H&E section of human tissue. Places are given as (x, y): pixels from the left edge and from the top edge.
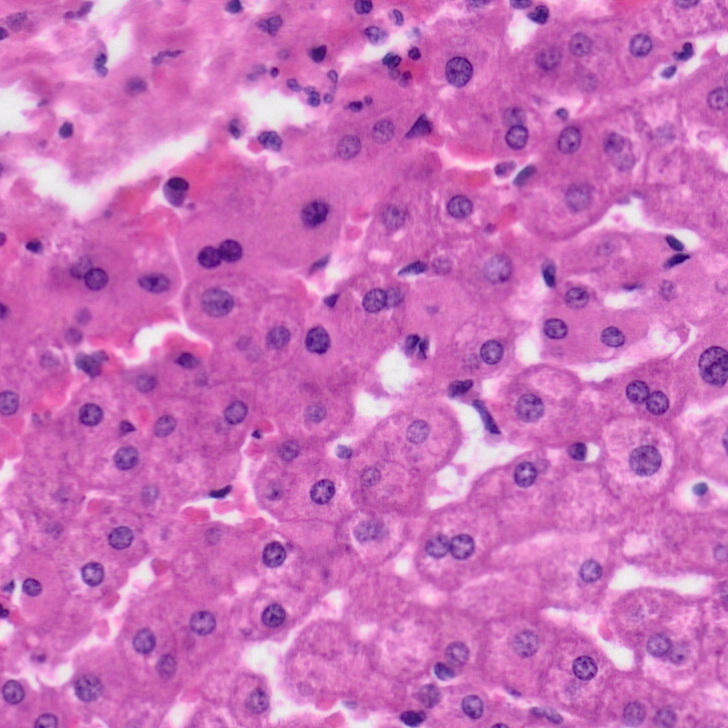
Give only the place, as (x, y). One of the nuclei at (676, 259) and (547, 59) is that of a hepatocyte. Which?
(547, 59)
